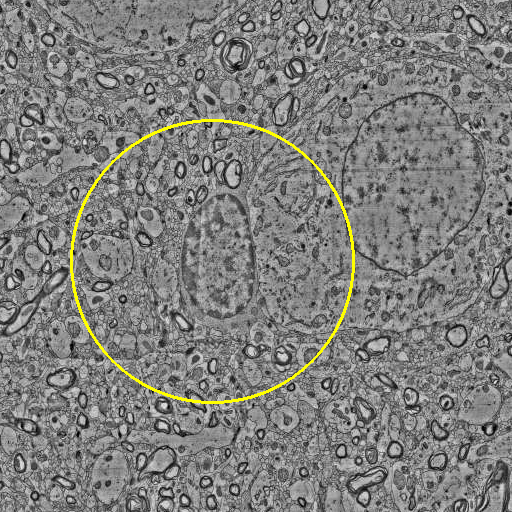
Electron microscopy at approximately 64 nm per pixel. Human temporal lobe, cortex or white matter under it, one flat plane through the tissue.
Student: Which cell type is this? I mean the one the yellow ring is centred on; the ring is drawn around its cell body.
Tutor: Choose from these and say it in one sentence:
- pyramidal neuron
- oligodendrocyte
The cell the ring is centred on is an oligodendrocyte.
